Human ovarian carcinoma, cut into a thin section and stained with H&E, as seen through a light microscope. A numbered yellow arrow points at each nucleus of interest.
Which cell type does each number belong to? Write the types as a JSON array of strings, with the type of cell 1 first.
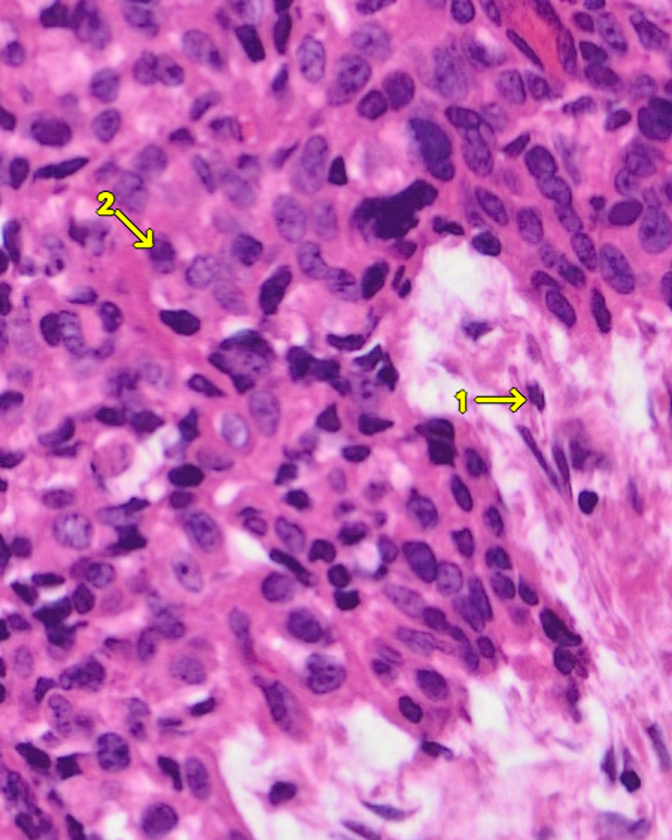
["fibroblast", "carcinoma cell"]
